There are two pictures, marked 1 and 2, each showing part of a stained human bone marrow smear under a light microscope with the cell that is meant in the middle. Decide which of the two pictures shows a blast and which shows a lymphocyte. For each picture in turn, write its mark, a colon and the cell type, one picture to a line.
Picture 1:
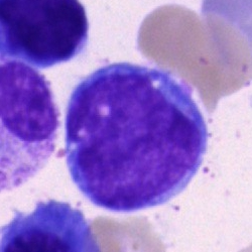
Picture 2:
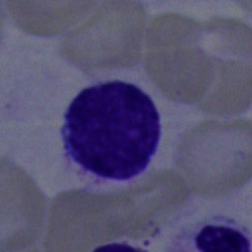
1: blast
2: lymphocyte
